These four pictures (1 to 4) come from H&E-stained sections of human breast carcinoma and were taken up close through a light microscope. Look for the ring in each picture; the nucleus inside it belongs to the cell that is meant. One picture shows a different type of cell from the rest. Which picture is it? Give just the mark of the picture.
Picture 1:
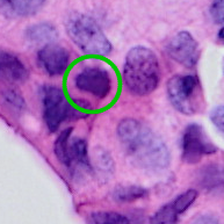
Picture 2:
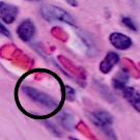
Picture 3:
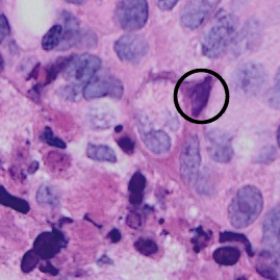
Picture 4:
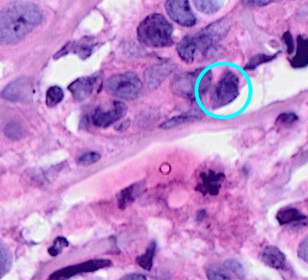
2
